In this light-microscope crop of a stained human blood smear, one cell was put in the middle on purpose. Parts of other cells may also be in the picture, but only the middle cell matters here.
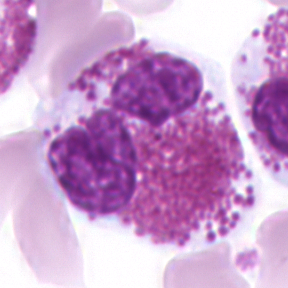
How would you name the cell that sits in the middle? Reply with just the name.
eosinophil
